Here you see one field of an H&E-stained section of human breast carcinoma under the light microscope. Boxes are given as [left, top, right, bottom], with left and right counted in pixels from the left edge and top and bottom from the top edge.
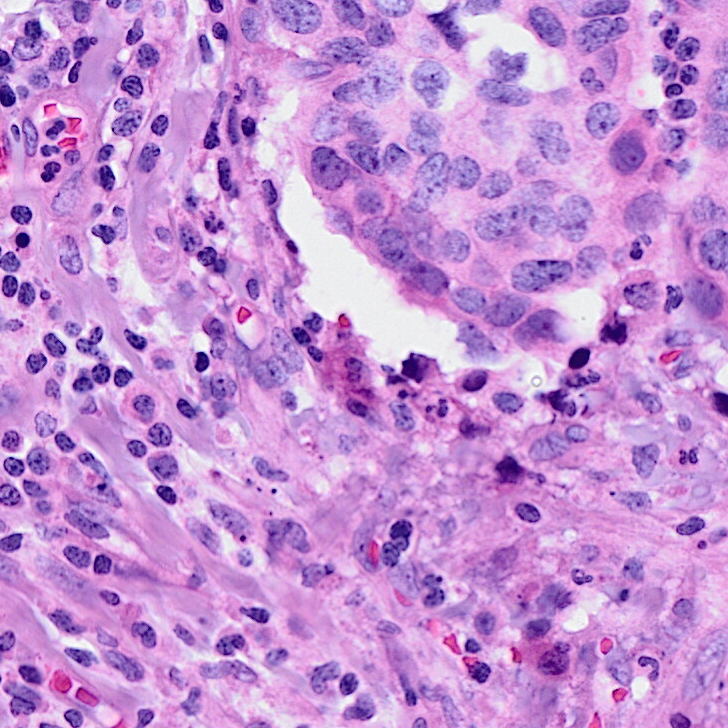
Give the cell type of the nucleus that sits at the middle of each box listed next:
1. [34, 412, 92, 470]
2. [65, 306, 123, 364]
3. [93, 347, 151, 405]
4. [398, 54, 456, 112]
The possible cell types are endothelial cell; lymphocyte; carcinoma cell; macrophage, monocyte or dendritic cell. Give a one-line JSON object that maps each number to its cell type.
{"1": "lymphocyte", "2": "lymphocyte", "3": "lymphocyte", "4": "carcinoma cell"}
